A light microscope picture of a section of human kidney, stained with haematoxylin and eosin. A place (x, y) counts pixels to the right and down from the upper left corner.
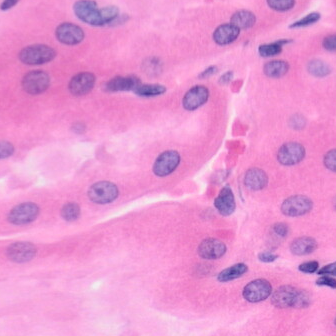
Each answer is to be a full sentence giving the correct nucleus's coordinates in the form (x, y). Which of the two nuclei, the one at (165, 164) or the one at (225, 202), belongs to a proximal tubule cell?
The nucleus whose cell is a proximal tubule cell is the one at (165, 164).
